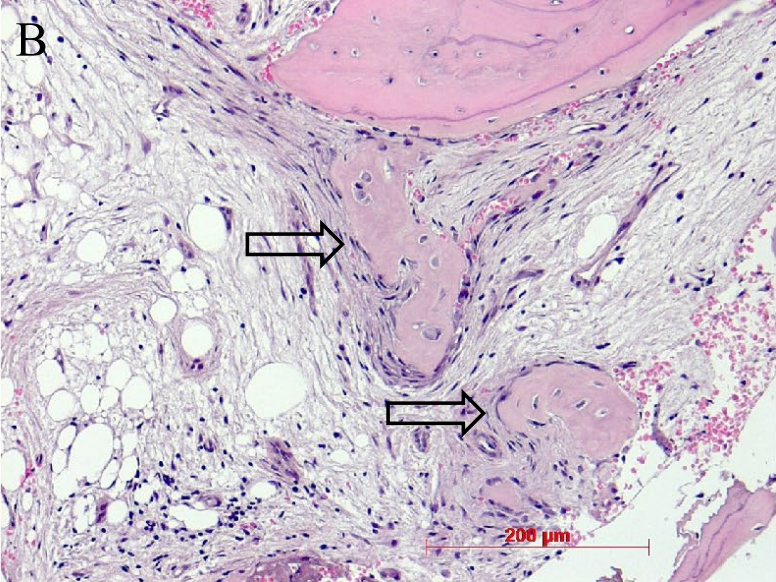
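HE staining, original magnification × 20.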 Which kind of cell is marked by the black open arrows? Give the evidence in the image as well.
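Osteoblast covering. The arrows point at small pink islands of bone matrix. A layer of plump cells with dark nuclei lines the edges of these islands.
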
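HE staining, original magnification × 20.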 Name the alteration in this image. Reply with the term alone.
Ongoing membranaceous osteogenesis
